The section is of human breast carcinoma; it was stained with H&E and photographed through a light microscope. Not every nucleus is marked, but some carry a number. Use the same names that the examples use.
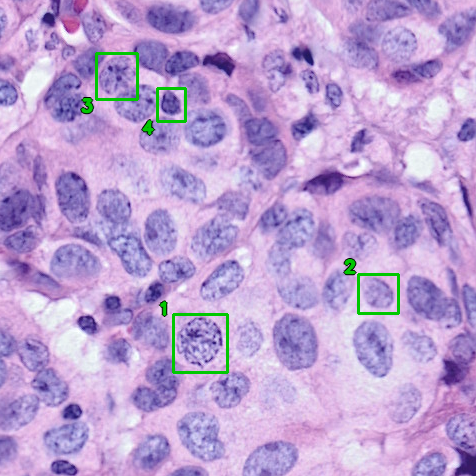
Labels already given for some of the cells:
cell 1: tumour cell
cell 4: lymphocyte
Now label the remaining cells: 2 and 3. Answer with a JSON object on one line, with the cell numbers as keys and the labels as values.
{"2": "tumour cell", "3": "tumour cell"}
